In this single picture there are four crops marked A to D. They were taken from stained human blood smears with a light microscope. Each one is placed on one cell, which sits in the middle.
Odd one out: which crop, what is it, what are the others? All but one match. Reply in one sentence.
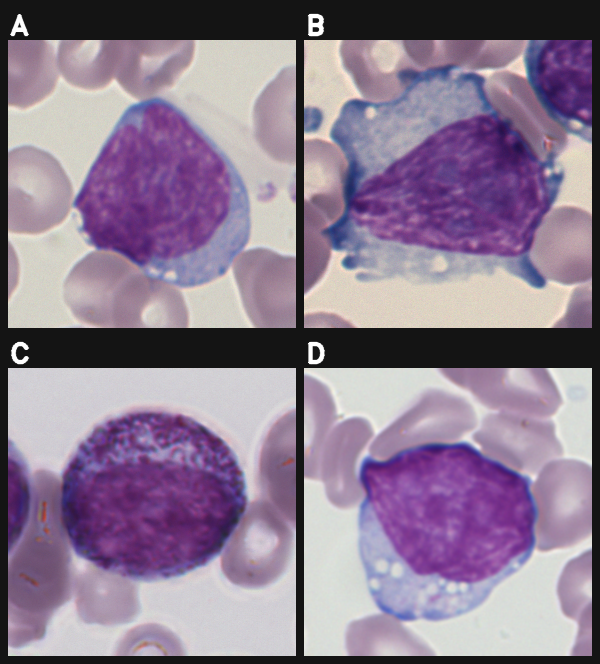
The odd one out is crop C, a promyelocyte, and all other crops show blasts.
